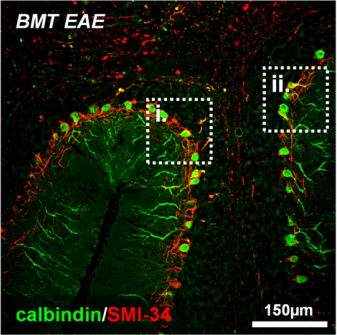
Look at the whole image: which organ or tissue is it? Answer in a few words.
cerebellum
